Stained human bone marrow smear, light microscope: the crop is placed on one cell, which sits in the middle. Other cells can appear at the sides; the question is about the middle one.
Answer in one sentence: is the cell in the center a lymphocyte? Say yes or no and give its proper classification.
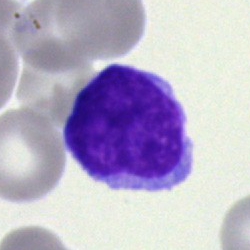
Yes, the middle cell of the field is a lymphocyte.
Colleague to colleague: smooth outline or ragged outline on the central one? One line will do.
The cell is outlined unevenly, the border being ragged or extended into projections.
